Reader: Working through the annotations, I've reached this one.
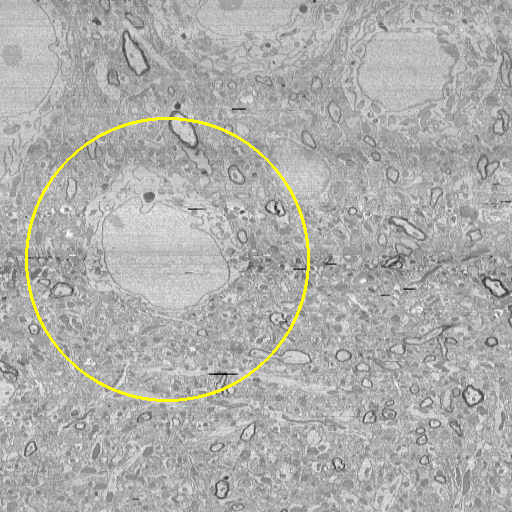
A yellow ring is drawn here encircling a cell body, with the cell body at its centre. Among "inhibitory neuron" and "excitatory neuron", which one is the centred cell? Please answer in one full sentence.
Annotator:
The cell body at the centre of the yellow ring in this image belongs to an excitatory neuron.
